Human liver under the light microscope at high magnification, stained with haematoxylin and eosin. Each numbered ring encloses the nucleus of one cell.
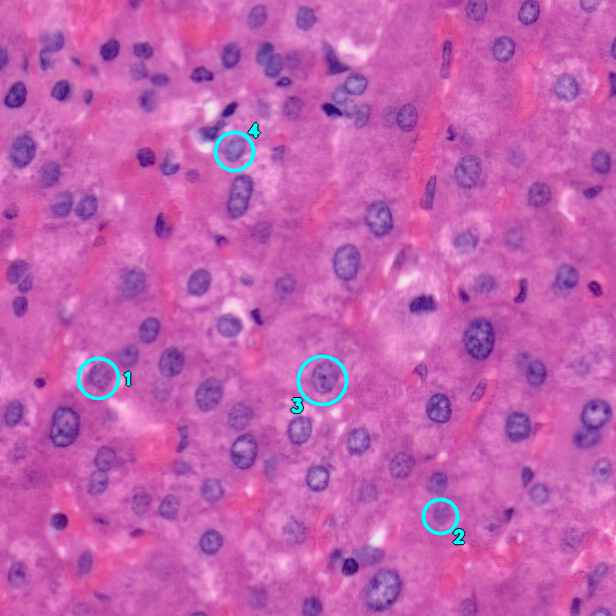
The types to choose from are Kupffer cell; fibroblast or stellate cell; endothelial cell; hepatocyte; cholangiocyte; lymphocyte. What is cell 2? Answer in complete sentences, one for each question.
The expected answer is that cell 2 is a hepatocyte.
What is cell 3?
The expected answer is that cell 3 is a hepatocyte.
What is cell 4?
In this section, the cell tagged 4 is a cholangiocyte.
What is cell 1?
Looking at the numbered marks, cell 1 is a hepatocyte.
